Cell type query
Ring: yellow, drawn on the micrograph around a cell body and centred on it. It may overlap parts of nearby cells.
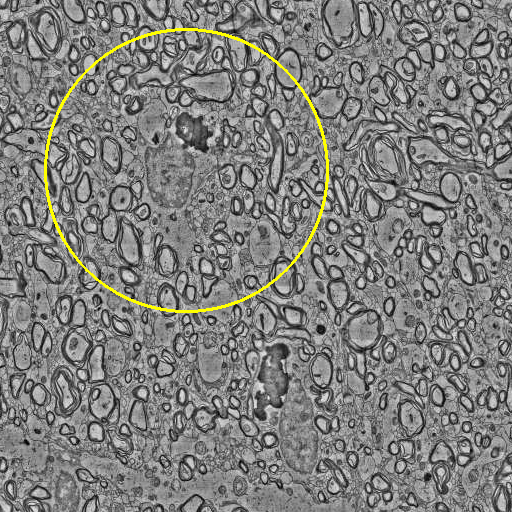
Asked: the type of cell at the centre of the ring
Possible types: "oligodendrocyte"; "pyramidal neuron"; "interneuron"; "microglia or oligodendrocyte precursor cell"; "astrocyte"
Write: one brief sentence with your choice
The ring marks an oligodendrocyte.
